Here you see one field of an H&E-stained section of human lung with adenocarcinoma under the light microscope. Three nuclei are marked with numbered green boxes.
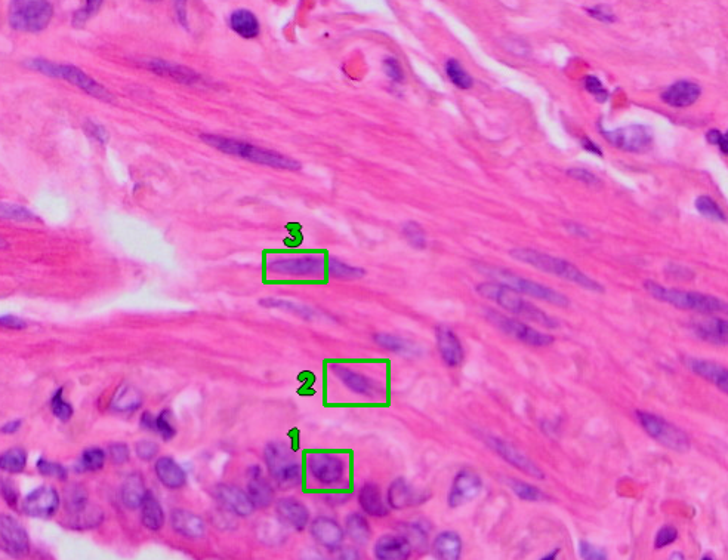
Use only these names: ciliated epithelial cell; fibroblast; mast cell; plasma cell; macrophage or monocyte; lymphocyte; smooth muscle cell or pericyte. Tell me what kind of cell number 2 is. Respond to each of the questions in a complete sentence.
The nucleus labelled 2 belongs to a smooth muscle cell or pericyte.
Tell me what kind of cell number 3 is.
The cell indicated with the number 3 is classed as a smooth muscle cell or pericyte.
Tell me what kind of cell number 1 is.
Cell 1 in the field is a ciliated epithelial cell.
